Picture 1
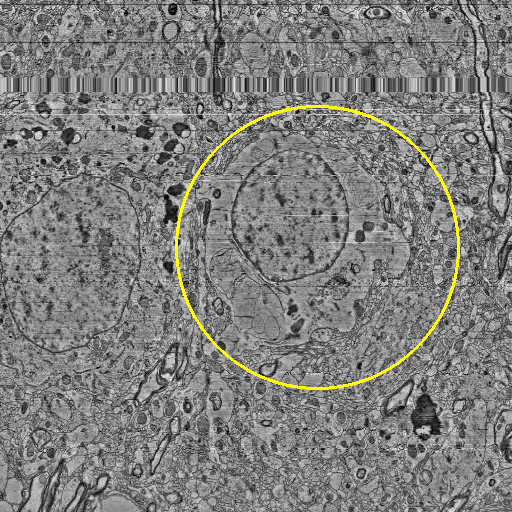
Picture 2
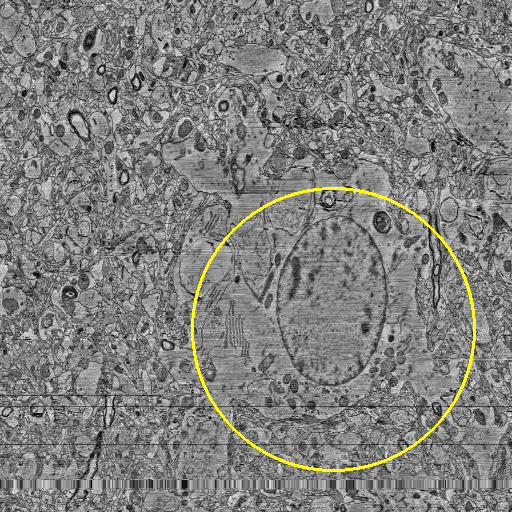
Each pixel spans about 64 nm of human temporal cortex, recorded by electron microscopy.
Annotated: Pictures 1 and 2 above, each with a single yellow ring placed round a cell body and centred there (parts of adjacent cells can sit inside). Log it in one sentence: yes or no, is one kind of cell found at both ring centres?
Yes, the ring centres of the two pictures hold cells of one kind.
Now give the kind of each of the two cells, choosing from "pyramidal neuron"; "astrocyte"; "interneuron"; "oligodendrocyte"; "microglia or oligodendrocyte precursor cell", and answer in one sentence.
In each of the two pictures, the ringed cell is an astrocyte.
